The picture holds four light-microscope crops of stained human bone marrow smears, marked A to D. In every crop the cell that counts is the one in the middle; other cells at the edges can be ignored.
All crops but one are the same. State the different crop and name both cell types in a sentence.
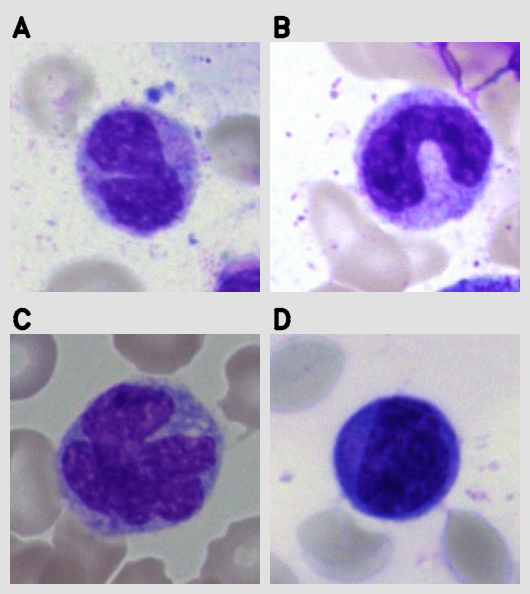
Crop B is a band neutrophil, the one exception to the monocytes of the other crops.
